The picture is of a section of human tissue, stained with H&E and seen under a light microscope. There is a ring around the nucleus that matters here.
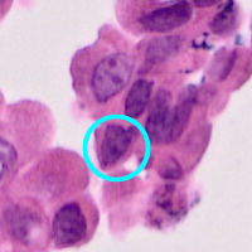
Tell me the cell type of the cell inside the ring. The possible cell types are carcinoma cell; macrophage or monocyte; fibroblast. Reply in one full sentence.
In this section, the cell inside the ring is a carcinoma cell.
